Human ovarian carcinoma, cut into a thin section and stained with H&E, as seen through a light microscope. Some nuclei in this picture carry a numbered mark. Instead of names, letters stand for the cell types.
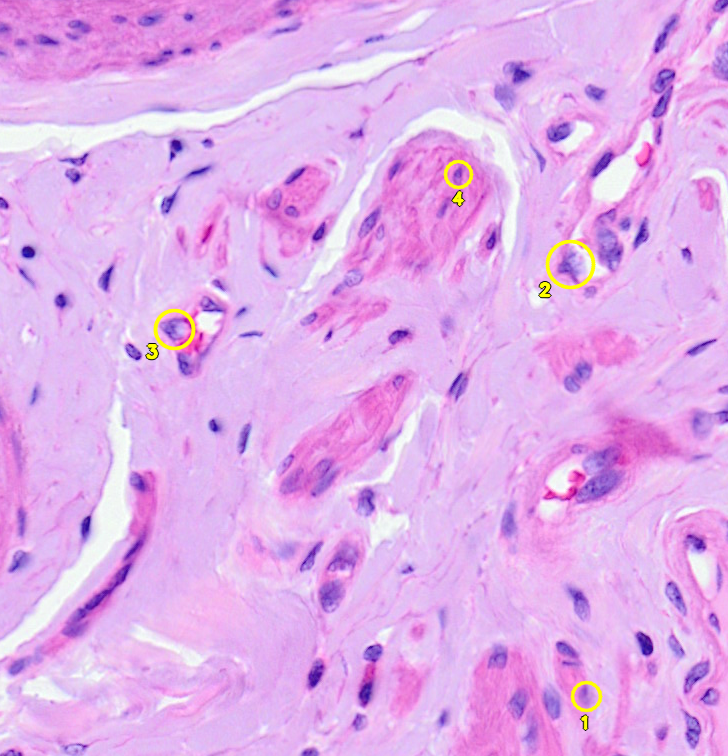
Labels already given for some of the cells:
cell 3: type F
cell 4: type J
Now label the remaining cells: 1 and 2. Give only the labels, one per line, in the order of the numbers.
type J
type F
